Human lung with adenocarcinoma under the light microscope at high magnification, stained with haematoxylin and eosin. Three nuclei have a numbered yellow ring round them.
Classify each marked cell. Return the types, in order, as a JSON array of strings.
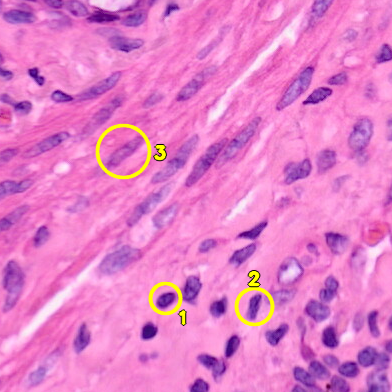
["lymphocyte", "lymphocyte", "smooth muscle cell or pericyte"]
